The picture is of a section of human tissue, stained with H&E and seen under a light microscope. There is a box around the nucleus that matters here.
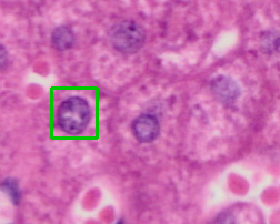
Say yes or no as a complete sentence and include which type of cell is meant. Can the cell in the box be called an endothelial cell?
No, the right answer is that the cell in the box is a hepatocyte, not an endothelial cell.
